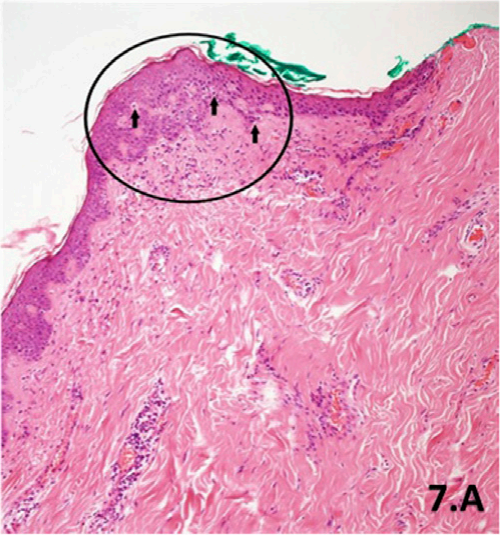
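At the upper part, beneath the green ink on the surface, a thickened stretch of epidermis holds many pale, haloed cells with dark nuclei set between the pink keratinocytes, lying close together along the base. Elsewhere the epidermis is thinner, with scattered basal pale cells. The dermis below is made of pink, wavy collagen bundles, with small vessels containing red blood cells and clusters of dark, small inflammatory cells around them.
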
